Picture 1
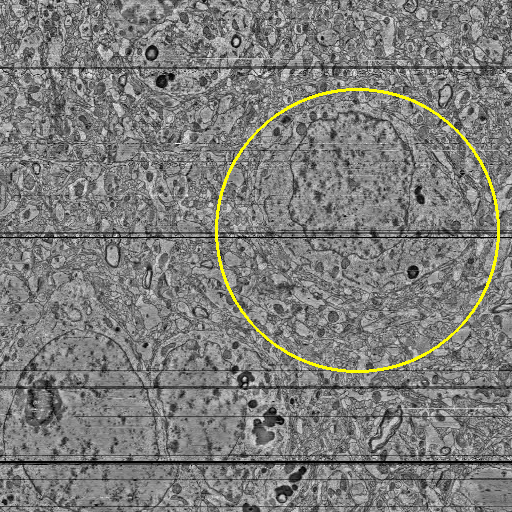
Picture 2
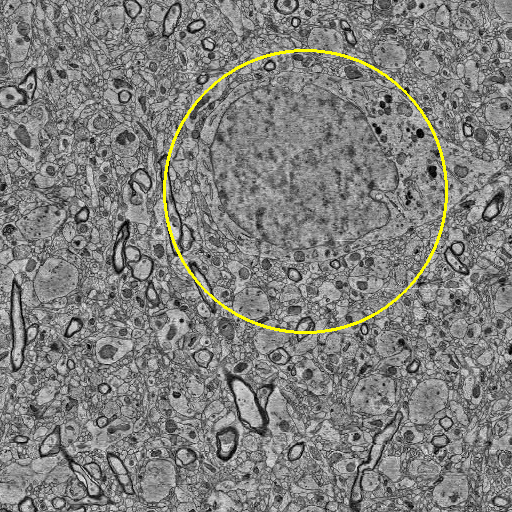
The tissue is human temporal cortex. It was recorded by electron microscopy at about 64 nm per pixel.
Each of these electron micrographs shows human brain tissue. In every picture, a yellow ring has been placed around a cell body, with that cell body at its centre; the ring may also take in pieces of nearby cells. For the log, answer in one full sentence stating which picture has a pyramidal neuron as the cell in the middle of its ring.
In picture 1, the cell at the centre of the yellow ring is the requested one.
